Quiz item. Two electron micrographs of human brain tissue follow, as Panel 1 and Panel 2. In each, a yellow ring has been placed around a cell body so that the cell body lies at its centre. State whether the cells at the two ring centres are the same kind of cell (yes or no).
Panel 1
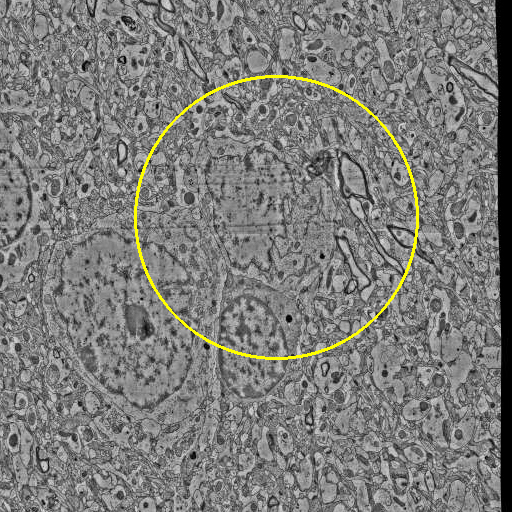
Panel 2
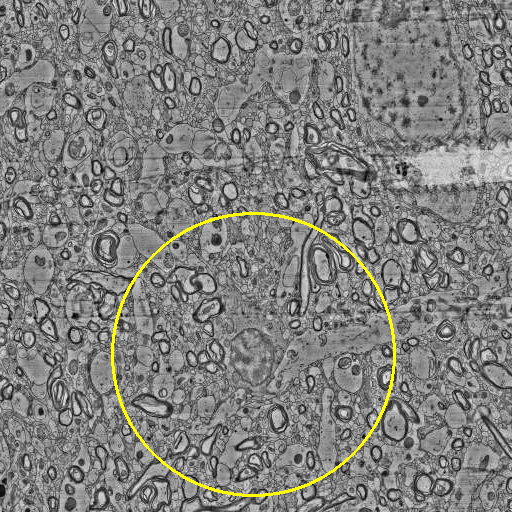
no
